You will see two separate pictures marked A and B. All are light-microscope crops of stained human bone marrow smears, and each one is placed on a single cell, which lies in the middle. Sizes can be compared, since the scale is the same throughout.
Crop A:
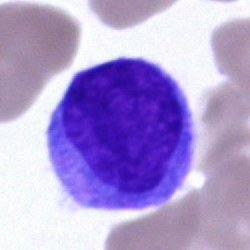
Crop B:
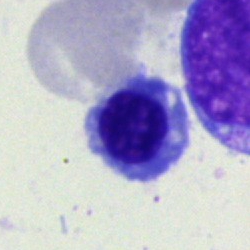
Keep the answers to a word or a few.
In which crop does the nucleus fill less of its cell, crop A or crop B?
B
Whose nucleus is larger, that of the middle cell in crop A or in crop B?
A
